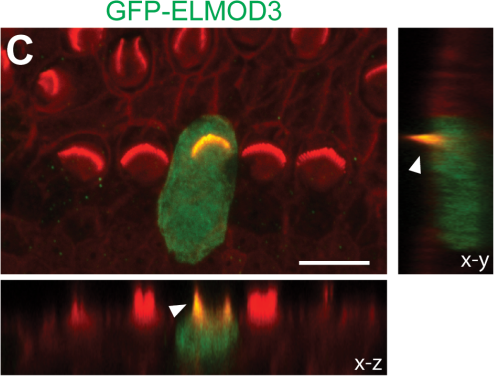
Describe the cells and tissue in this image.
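This is the organ of Corti seen from above, with a row of hair cells each topped by a red crescent-shaped stereocilia bundle, and a mosaic of red cell borders around them. One inner hair cell is filled with green throughout its elongated body. Its stereocilia bundle appears yellow, and in the side projections the bundle rises as a yellow-orange tuft from the top of the green cell body.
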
